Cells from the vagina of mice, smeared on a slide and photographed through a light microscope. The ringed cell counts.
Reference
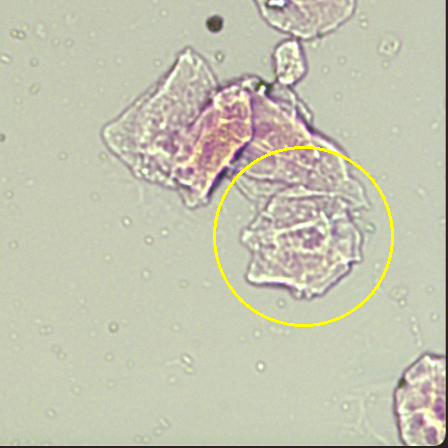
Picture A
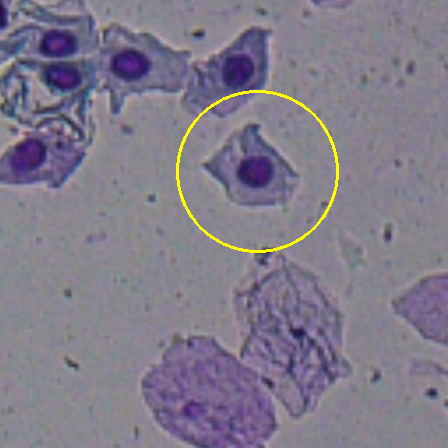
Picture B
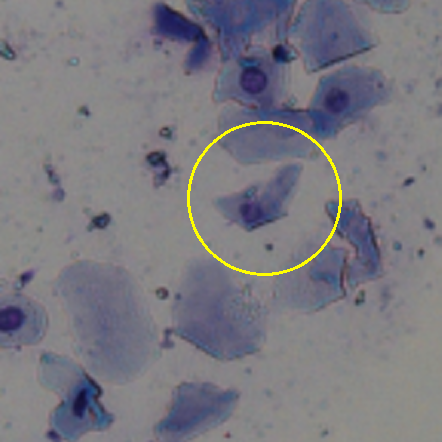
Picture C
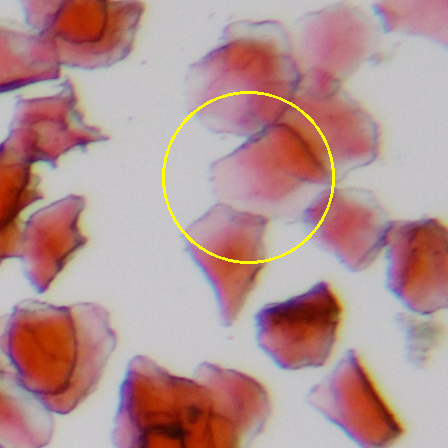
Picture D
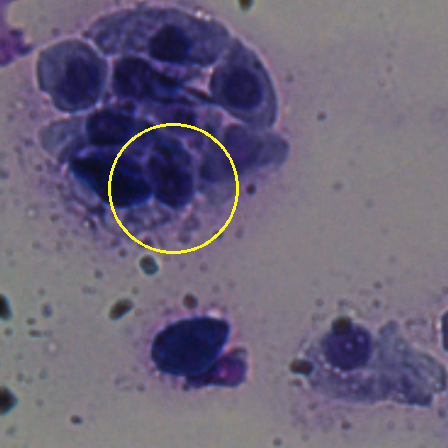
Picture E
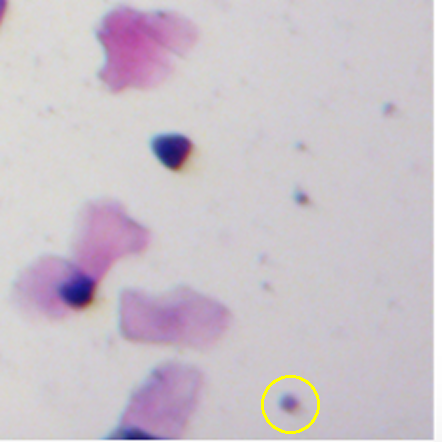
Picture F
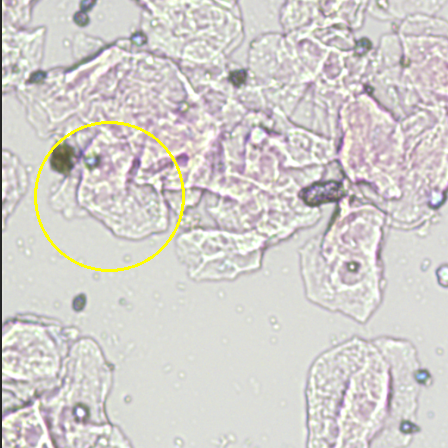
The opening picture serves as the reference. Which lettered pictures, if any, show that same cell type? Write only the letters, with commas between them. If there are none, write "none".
C, F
